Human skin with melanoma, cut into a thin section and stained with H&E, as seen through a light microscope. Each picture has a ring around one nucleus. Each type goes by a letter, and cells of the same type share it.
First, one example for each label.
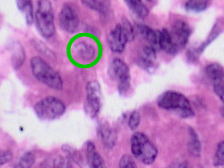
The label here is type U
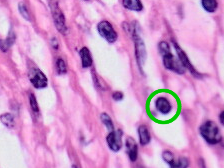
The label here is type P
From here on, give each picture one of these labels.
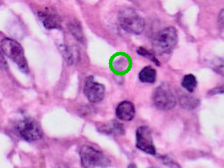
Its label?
type U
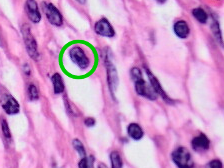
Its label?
type P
